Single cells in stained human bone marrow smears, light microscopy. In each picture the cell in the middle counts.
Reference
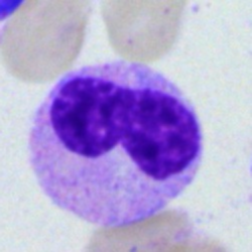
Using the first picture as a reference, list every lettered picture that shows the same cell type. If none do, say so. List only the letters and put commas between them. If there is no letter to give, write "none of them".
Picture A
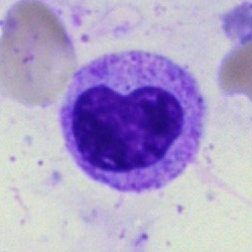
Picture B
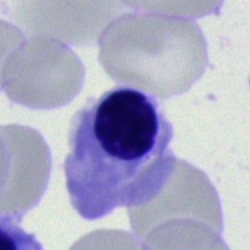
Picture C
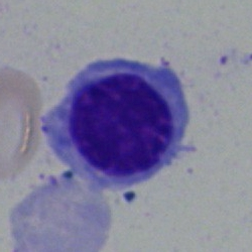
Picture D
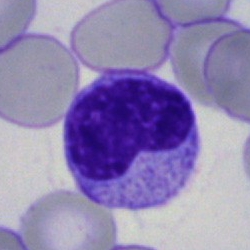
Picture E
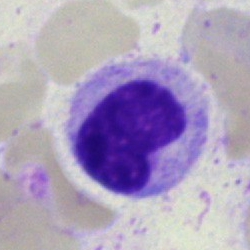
none of them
